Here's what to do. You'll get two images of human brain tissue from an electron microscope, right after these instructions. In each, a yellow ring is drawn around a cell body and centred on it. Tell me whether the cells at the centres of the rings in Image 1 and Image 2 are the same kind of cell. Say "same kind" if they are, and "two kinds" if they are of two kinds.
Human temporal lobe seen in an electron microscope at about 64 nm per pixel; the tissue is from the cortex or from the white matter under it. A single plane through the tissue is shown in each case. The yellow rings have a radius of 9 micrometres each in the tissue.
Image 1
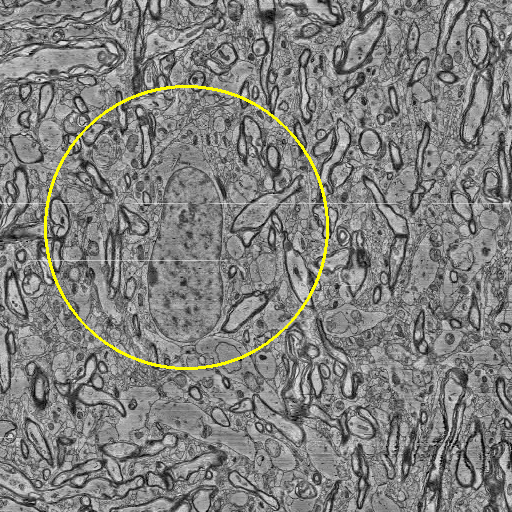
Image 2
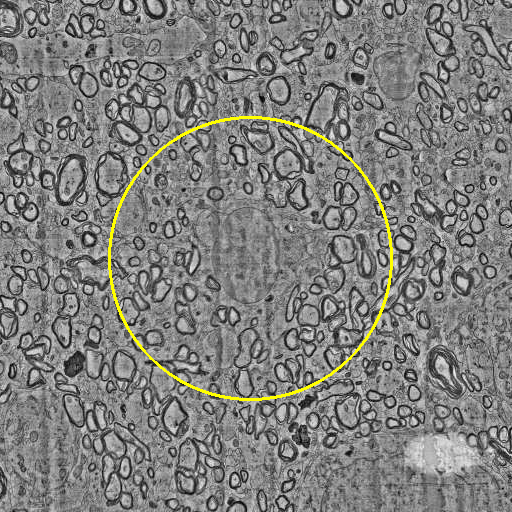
same kind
